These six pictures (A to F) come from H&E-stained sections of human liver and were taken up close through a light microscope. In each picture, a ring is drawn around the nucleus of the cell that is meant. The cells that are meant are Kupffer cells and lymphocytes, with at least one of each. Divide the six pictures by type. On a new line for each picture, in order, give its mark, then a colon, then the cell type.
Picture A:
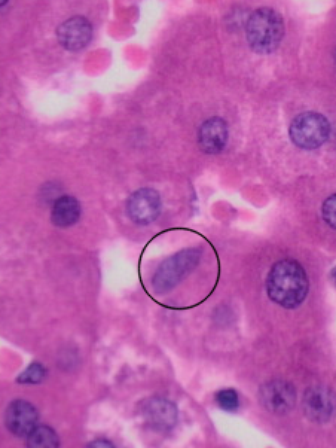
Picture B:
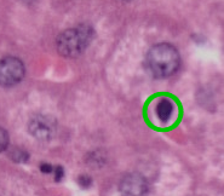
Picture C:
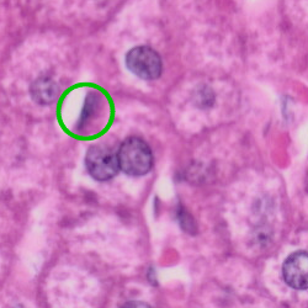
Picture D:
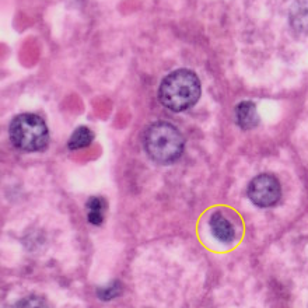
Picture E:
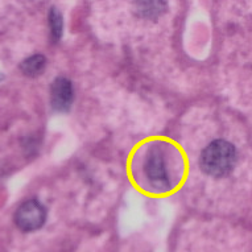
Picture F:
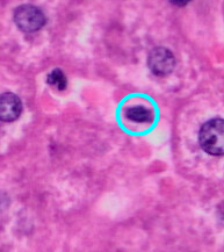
A: Kupffer cell
B: lymphocyte
C: Kupffer cell
D: lymphocyte
E: Kupffer cell
F: lymphocyte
